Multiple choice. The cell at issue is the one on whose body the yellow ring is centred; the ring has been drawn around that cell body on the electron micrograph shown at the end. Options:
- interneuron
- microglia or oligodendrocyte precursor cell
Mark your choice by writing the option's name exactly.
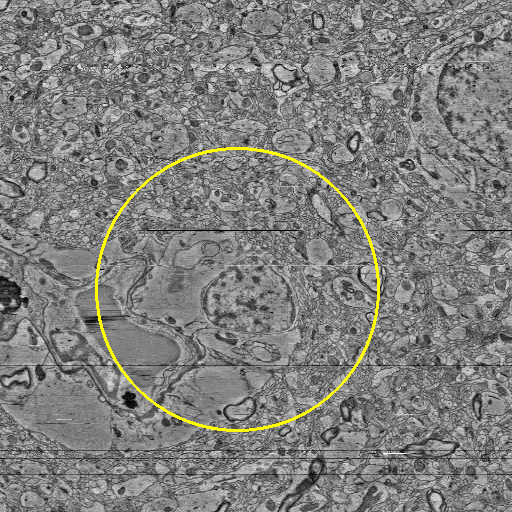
microglia or oligodendrocyte precursor cell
